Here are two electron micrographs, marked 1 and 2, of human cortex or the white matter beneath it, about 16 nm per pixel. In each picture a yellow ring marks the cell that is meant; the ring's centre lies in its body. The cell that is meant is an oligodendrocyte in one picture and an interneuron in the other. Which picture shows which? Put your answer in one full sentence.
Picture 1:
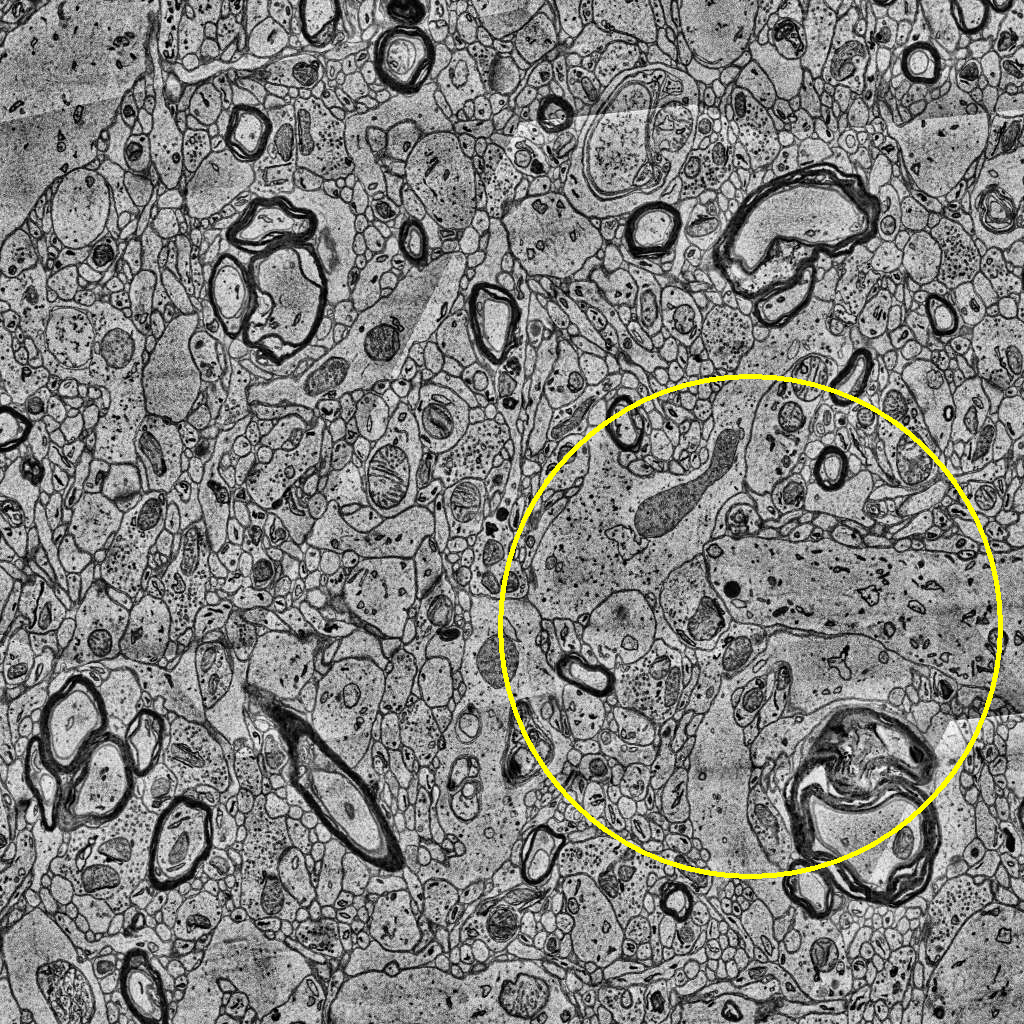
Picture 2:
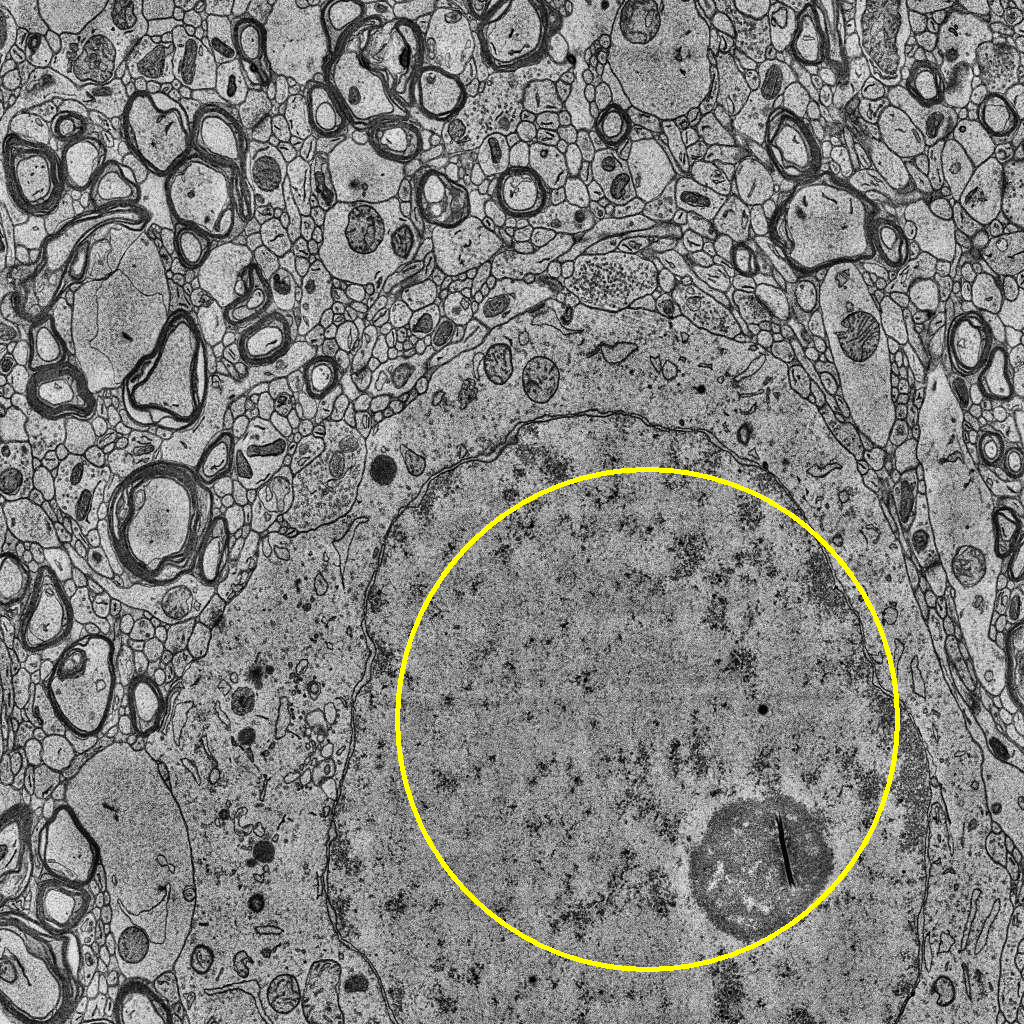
The cell in picture 1 is an oligodendrocyte, and the one in picture 2 is an interneuron.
